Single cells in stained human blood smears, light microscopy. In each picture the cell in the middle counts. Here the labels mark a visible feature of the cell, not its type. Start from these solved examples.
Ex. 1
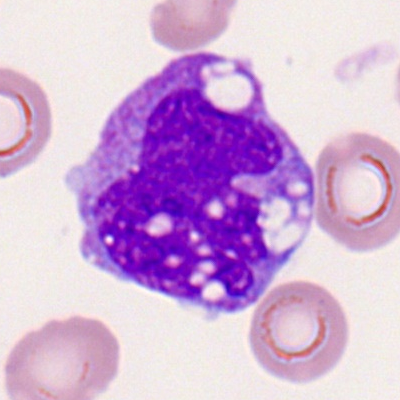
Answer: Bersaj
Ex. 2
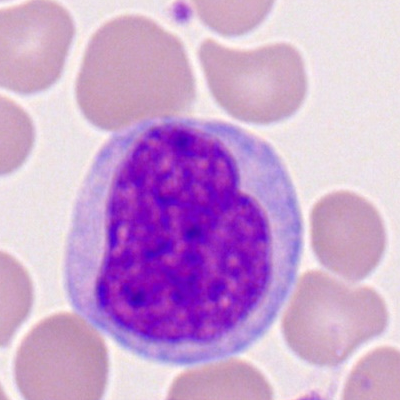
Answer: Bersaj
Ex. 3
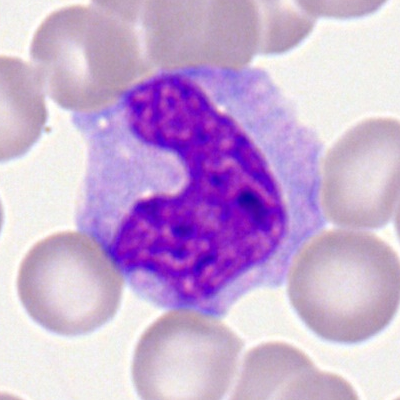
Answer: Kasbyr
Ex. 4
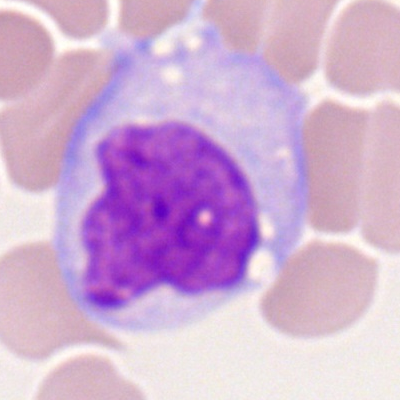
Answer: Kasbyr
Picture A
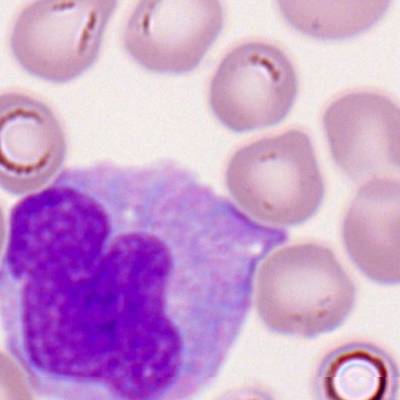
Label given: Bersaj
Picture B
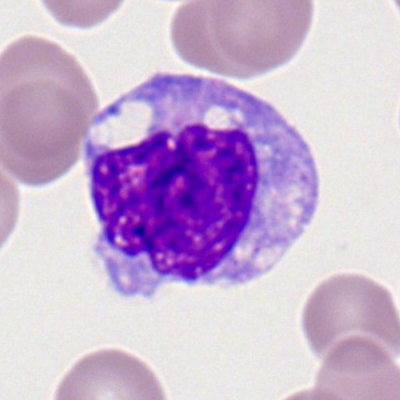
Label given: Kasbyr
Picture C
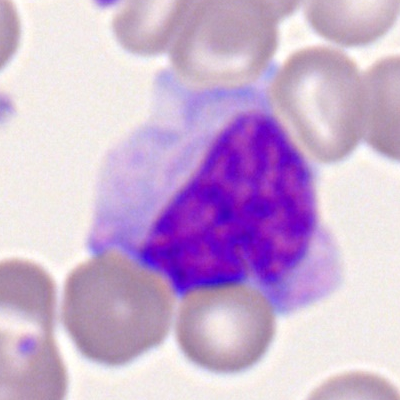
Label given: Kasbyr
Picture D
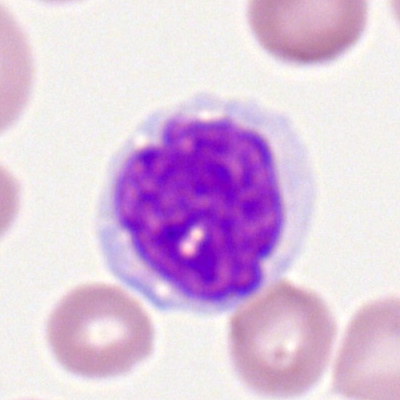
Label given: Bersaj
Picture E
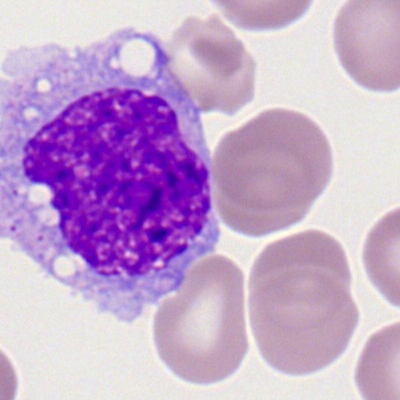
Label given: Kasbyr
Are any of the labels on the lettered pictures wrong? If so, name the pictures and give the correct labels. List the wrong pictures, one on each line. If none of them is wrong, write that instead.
A: Kasbyr, not Bersaj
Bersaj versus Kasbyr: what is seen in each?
Seen in Bersaj: scant cytoplasm; seen in Kasbyr: abundant cytoplasm.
